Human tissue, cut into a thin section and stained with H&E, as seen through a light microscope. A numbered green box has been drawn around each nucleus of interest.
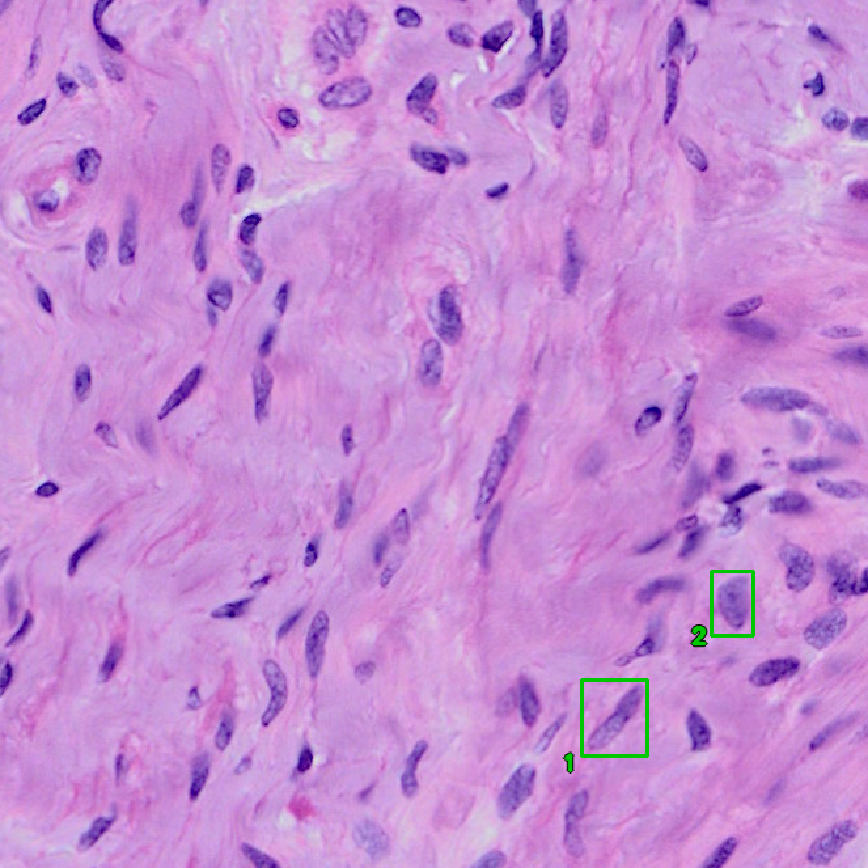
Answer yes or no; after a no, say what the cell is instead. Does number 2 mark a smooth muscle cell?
No, it is a fibroblast.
